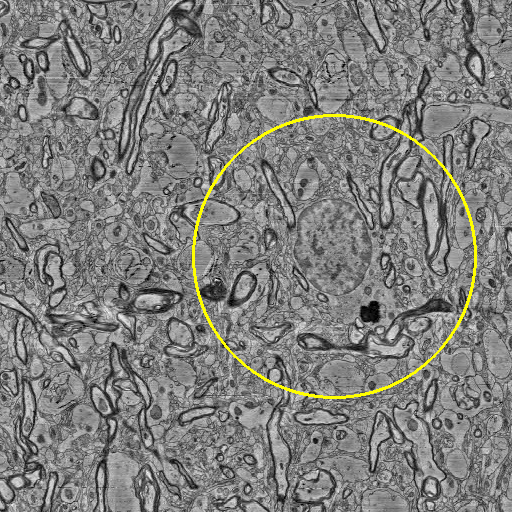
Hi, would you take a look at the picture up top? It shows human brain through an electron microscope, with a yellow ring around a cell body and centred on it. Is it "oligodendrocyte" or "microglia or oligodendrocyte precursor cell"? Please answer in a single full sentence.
The best fit for the cell in the middle of the ring is an oligodendrocyte, I reckon.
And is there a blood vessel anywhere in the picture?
No, there is no blood vessel in the image.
